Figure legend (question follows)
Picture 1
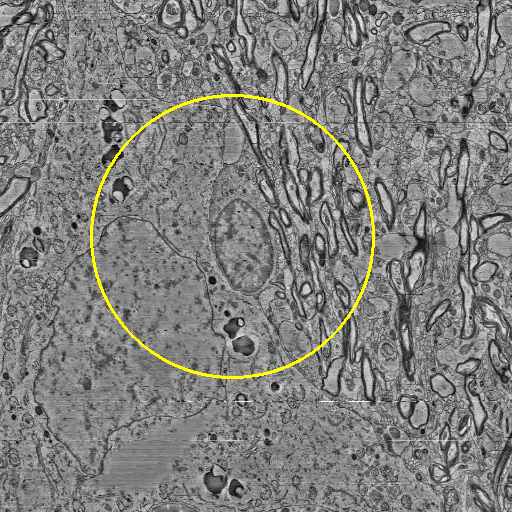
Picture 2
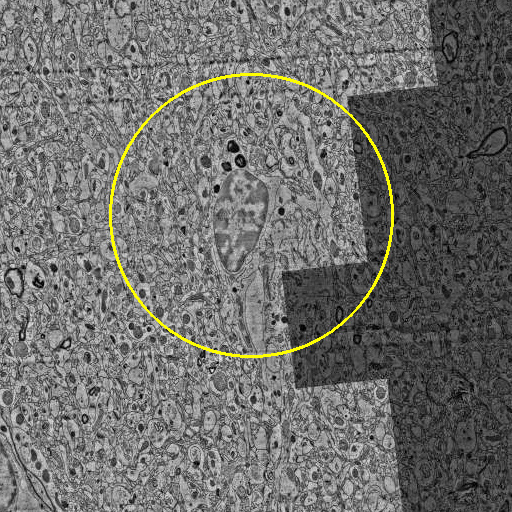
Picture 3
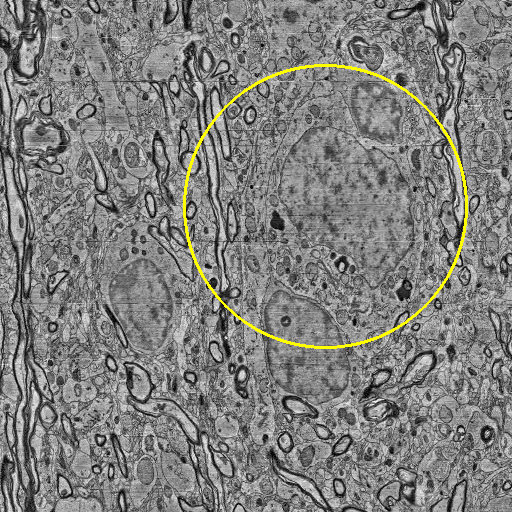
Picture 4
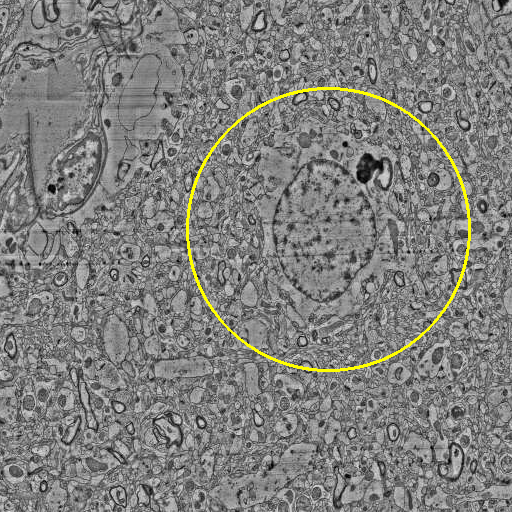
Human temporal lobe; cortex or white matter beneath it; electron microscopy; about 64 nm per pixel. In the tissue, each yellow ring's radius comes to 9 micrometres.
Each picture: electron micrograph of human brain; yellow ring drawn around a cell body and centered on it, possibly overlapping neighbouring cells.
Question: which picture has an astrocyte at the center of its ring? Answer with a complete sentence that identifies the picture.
Picture 4 has it at the center of its ring.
